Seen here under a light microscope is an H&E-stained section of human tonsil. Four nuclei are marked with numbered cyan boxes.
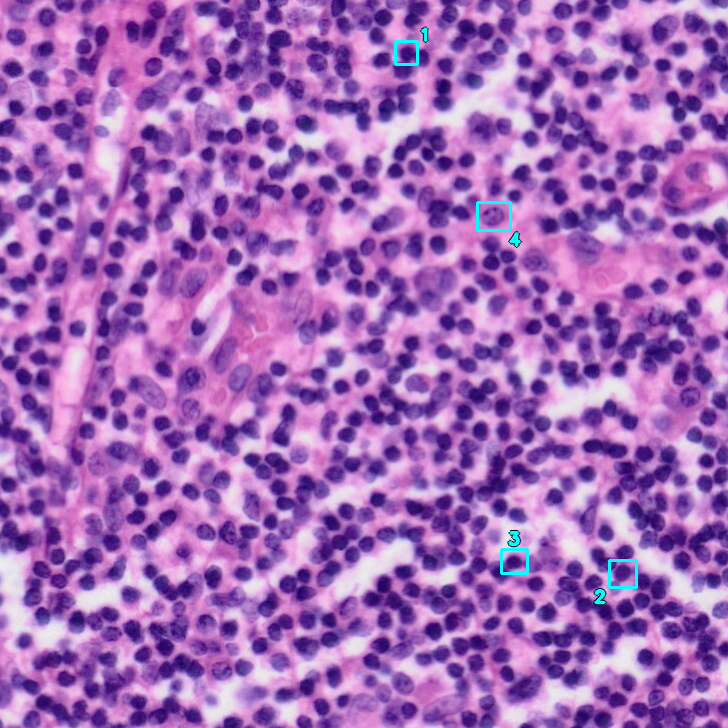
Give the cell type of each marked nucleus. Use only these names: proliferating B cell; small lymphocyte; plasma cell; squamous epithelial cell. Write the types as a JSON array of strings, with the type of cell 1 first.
["small lymphocyte", "small lymphocyte", "small lymphocyte", "plasma cell"]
